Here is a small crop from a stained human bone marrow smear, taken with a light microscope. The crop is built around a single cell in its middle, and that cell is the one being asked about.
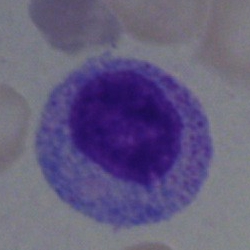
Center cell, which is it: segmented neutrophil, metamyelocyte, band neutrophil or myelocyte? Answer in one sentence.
The central cell in this smear crop is a myelocyte.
